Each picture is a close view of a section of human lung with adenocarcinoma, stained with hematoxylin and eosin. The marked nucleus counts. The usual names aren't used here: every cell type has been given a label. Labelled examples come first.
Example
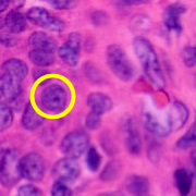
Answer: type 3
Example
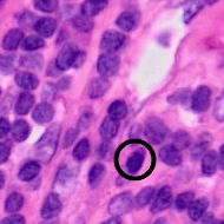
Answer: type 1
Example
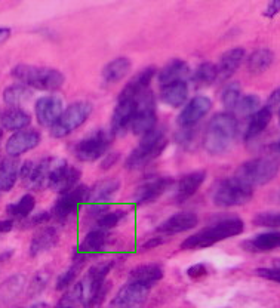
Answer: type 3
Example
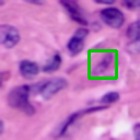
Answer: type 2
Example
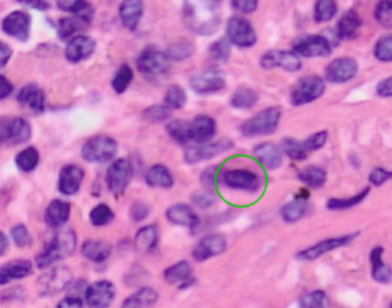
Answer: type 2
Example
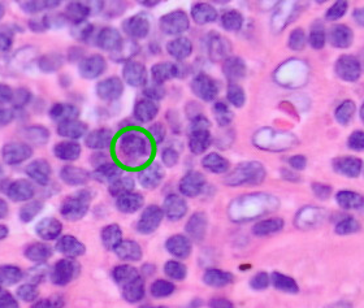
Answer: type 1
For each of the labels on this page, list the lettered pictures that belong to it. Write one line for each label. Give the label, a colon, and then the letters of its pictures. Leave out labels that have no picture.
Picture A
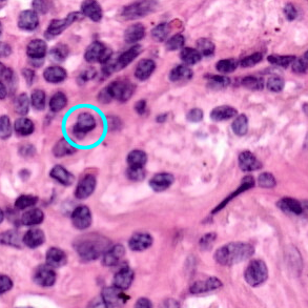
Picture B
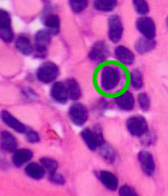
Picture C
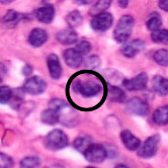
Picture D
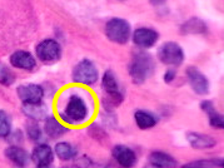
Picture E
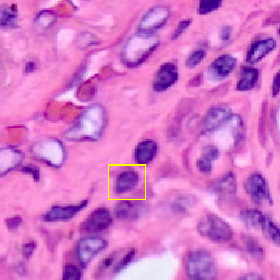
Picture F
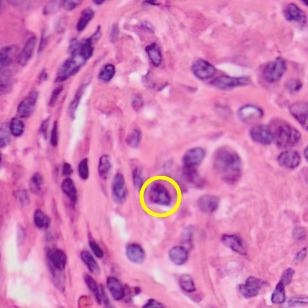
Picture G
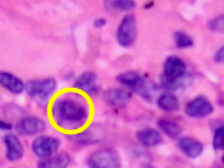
type 1: A, B, C, D
type 2: E, F, G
